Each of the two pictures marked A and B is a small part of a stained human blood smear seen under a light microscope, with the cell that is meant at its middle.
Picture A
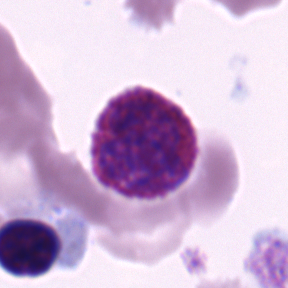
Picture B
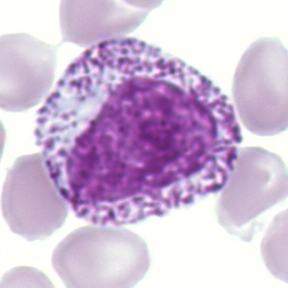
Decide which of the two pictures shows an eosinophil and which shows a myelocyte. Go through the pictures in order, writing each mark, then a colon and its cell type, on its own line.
A: eosinophil
B: myelocyte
